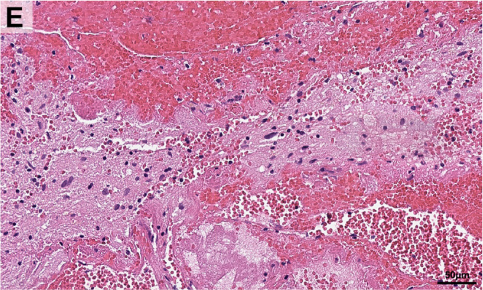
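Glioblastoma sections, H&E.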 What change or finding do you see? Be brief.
Bleeds with prominent erythrocytes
